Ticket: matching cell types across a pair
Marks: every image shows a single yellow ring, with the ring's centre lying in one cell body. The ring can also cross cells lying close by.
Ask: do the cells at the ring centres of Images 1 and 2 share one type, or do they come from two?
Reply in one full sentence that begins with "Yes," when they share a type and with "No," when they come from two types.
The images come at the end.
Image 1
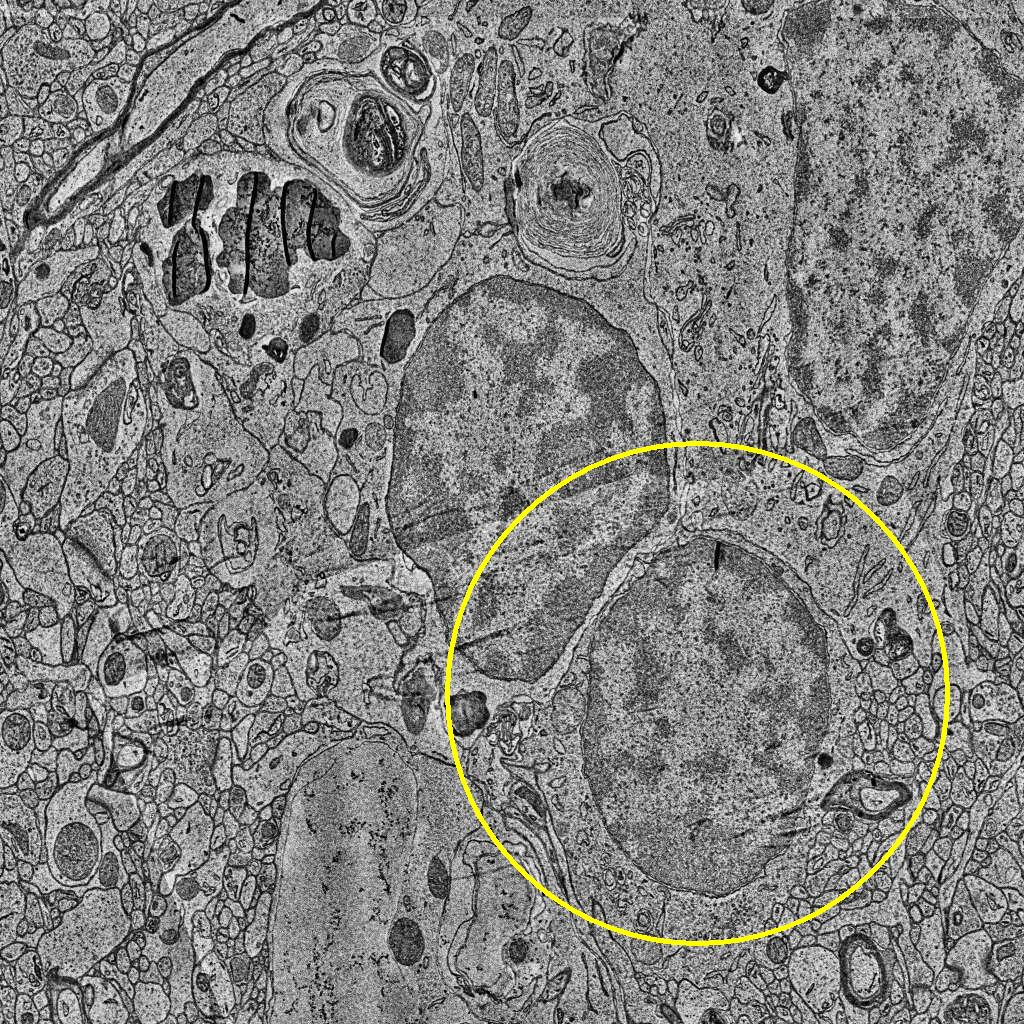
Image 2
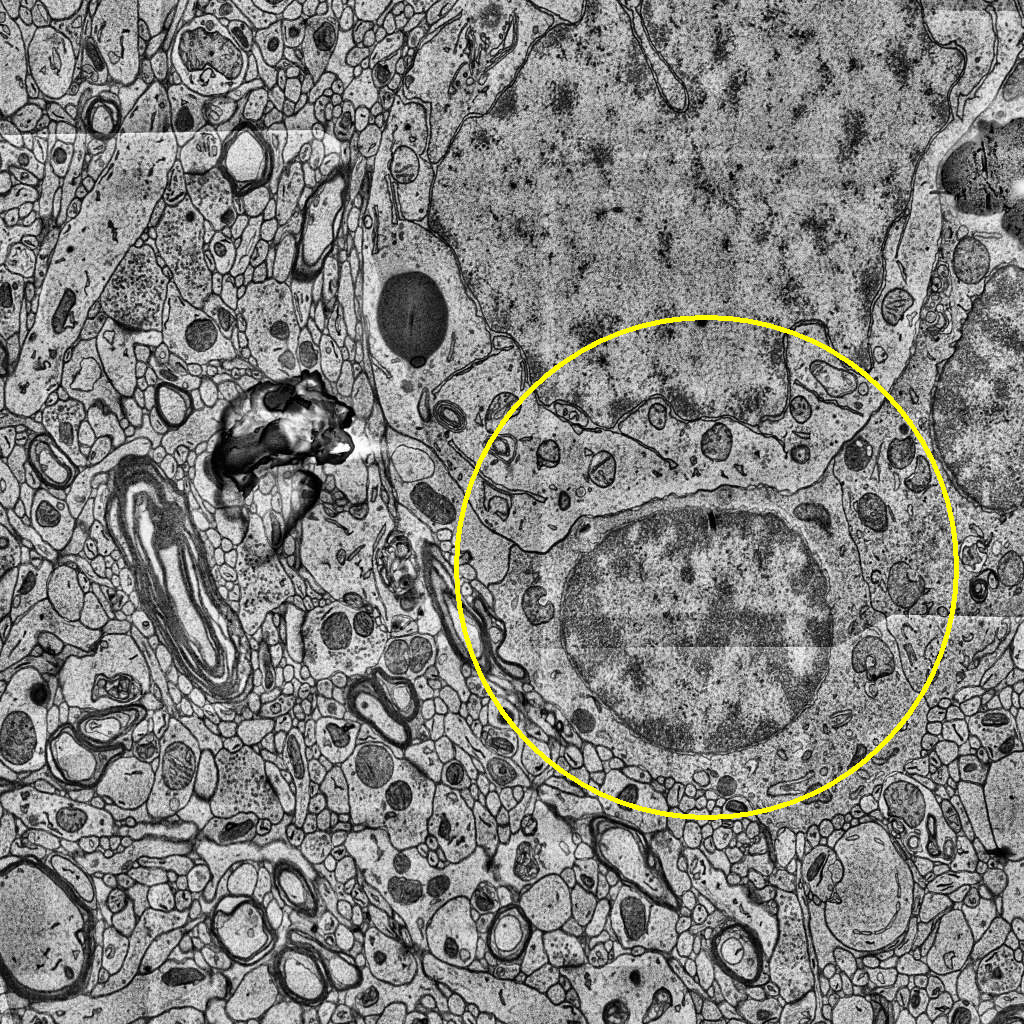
Yes, the cells at the centres of the rings in Image 1 and Image 2 share one type.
